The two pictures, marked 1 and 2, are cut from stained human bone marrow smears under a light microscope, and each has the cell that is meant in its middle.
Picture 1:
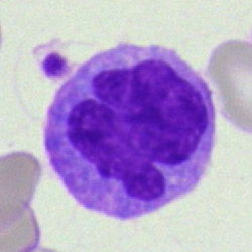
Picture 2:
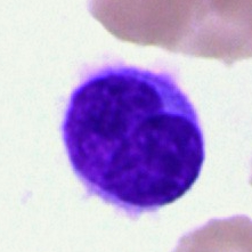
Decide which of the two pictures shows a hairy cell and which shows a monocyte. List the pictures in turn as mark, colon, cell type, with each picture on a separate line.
1: monocyte
2: hairy cell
